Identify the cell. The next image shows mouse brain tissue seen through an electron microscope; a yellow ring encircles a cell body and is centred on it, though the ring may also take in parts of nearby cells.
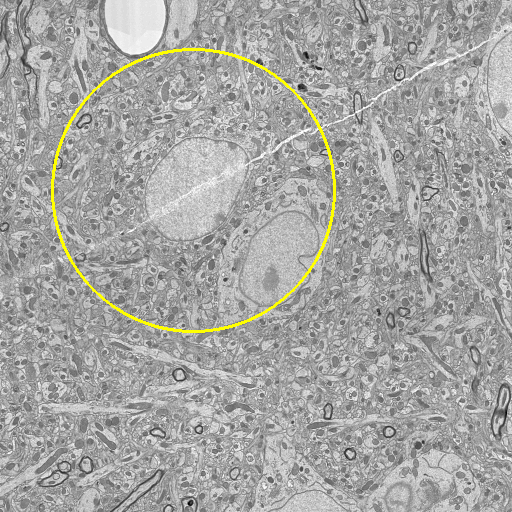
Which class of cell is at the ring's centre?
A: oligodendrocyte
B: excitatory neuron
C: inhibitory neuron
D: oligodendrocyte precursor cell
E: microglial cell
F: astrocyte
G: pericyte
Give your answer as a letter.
F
